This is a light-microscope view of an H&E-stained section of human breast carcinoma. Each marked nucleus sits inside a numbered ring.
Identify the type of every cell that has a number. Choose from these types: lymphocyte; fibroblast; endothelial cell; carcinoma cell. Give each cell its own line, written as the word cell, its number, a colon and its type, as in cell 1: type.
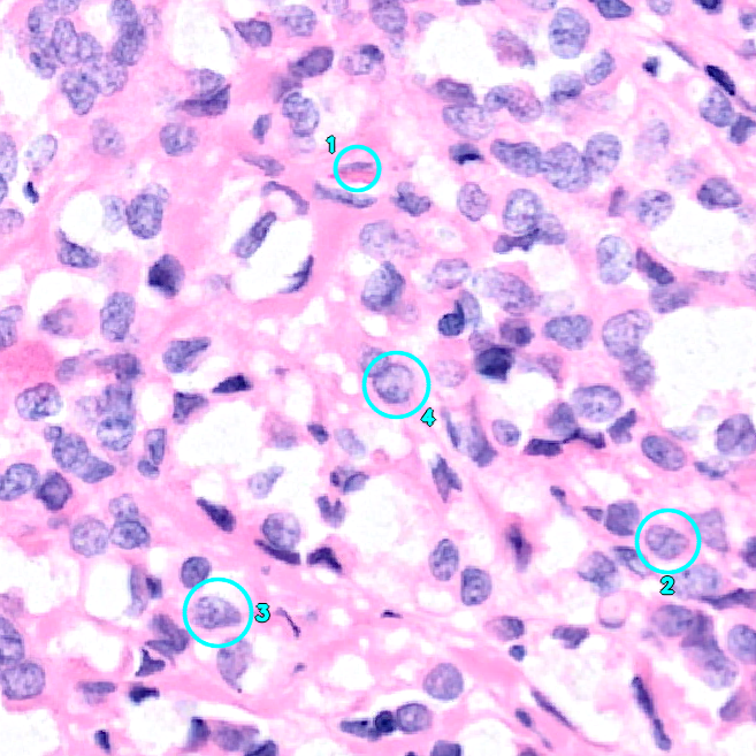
cell 1: endothelial cell
cell 2: carcinoma cell
cell 3: carcinoma cell
cell 4: carcinoma cell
